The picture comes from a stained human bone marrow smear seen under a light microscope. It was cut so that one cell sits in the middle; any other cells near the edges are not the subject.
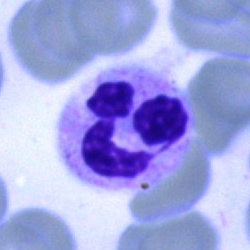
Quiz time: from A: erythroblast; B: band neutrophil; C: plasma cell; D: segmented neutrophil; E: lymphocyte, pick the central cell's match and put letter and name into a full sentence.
Option D is correct in that the central cell is a segmented neutrophil.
